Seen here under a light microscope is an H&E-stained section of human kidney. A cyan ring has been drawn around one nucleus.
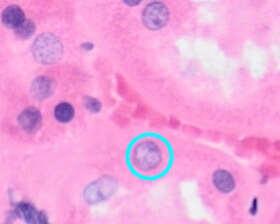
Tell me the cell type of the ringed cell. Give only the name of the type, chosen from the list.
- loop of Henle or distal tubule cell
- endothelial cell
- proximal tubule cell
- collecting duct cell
proximal tubule cell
